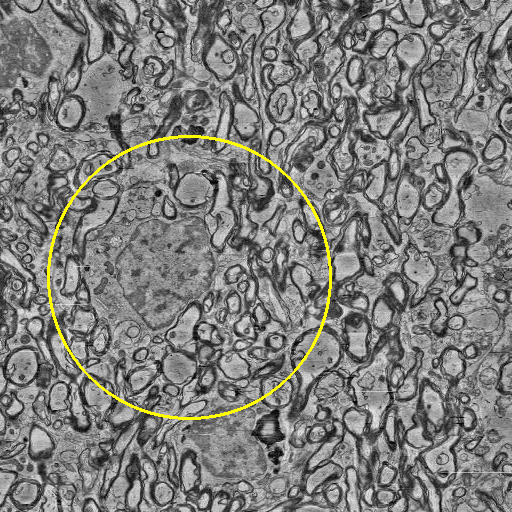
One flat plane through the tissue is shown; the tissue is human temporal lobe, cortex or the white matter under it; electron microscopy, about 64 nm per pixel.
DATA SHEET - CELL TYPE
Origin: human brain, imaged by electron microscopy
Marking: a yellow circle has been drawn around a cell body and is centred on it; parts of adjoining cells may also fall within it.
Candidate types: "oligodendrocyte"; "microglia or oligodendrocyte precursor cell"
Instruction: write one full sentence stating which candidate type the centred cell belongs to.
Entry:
The cell body at the centre of the yellow ring in this micrograph belongs to an oligodendrocyte.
